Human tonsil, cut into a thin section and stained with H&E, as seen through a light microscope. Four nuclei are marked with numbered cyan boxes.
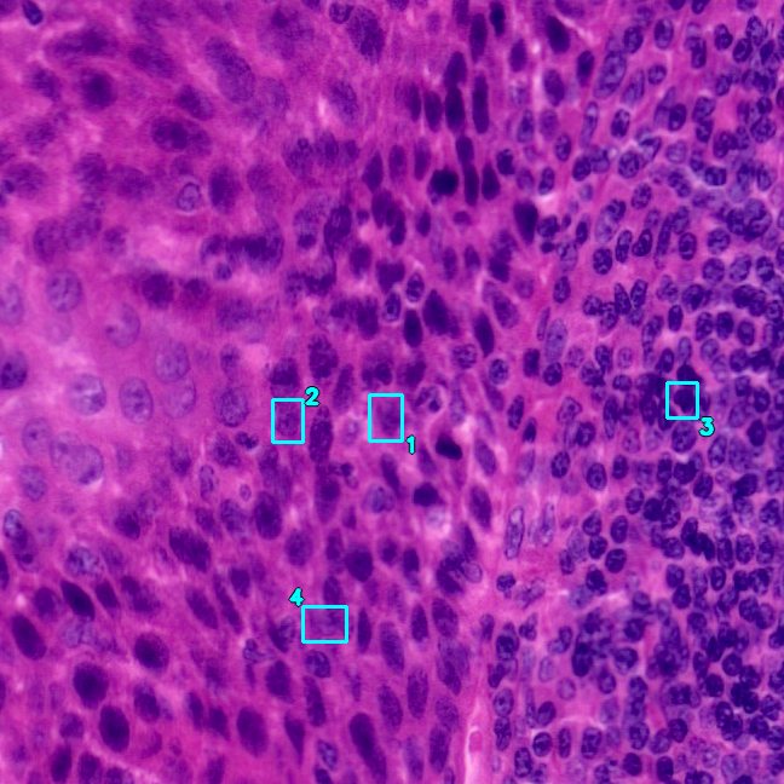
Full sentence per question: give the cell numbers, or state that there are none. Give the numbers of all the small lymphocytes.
Nothing but cell 3 is a small lymphocyte among the numbered ones.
